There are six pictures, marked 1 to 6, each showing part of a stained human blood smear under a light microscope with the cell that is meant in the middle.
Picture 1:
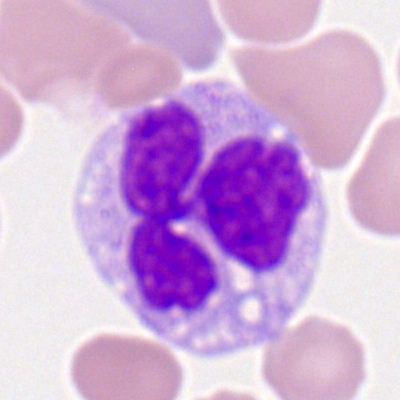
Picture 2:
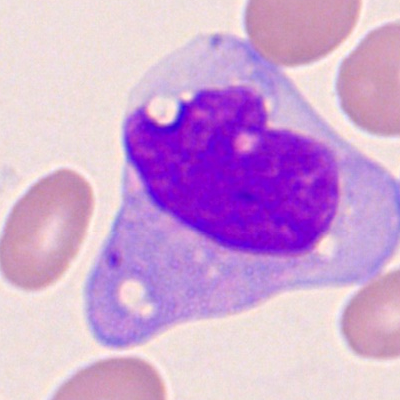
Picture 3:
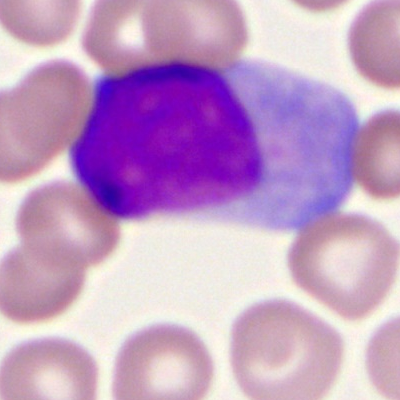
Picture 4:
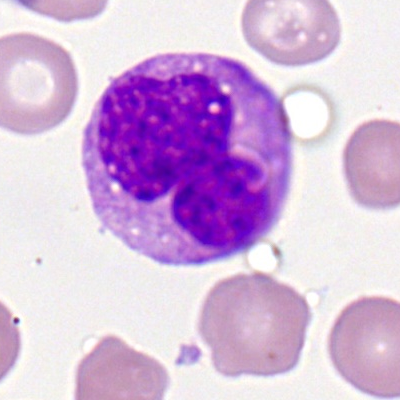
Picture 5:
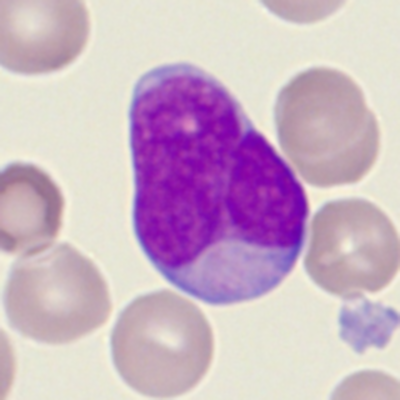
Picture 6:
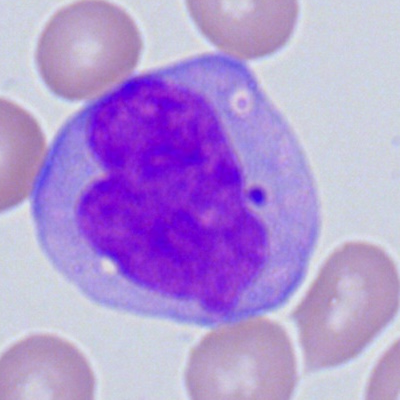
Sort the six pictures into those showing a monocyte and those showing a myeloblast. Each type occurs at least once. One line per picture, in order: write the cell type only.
monocyte
monocyte
myeloblast
monocyte
myeloblast
monocyte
